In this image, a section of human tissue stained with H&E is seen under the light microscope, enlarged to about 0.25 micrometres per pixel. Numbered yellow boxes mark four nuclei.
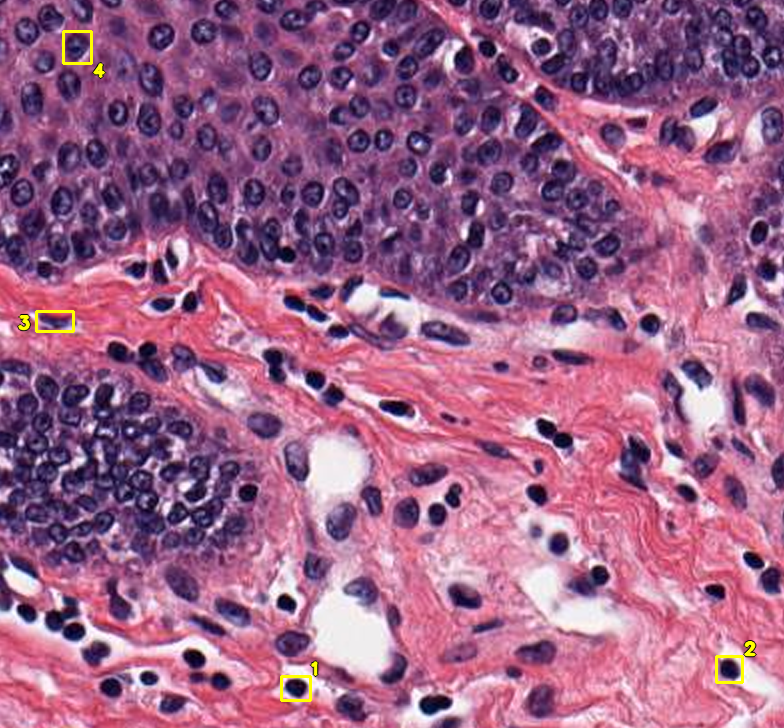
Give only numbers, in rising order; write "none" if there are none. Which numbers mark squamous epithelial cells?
4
